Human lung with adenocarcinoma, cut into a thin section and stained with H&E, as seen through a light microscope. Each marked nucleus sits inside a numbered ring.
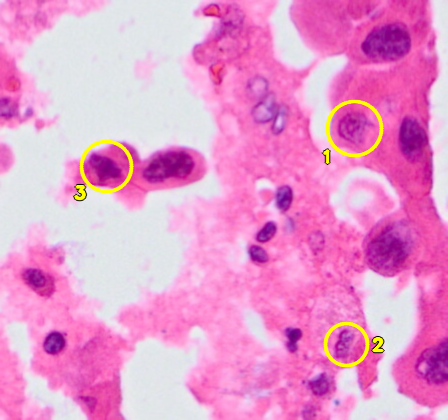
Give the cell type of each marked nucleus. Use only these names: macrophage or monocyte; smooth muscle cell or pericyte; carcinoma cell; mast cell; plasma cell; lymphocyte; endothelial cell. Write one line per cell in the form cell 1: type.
cell 1: carcinoma cell
cell 2: macrophage or monocyte
cell 3: carcinoma cell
